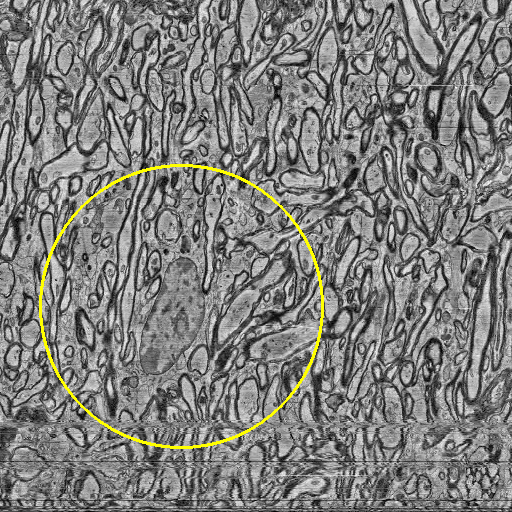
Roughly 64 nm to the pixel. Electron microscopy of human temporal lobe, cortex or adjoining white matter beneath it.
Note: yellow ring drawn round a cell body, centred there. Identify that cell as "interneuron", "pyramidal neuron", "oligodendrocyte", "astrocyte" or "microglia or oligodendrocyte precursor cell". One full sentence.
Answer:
The cell in the middle of the ring is a microglial cell or oligodendrocyte precursor cell.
